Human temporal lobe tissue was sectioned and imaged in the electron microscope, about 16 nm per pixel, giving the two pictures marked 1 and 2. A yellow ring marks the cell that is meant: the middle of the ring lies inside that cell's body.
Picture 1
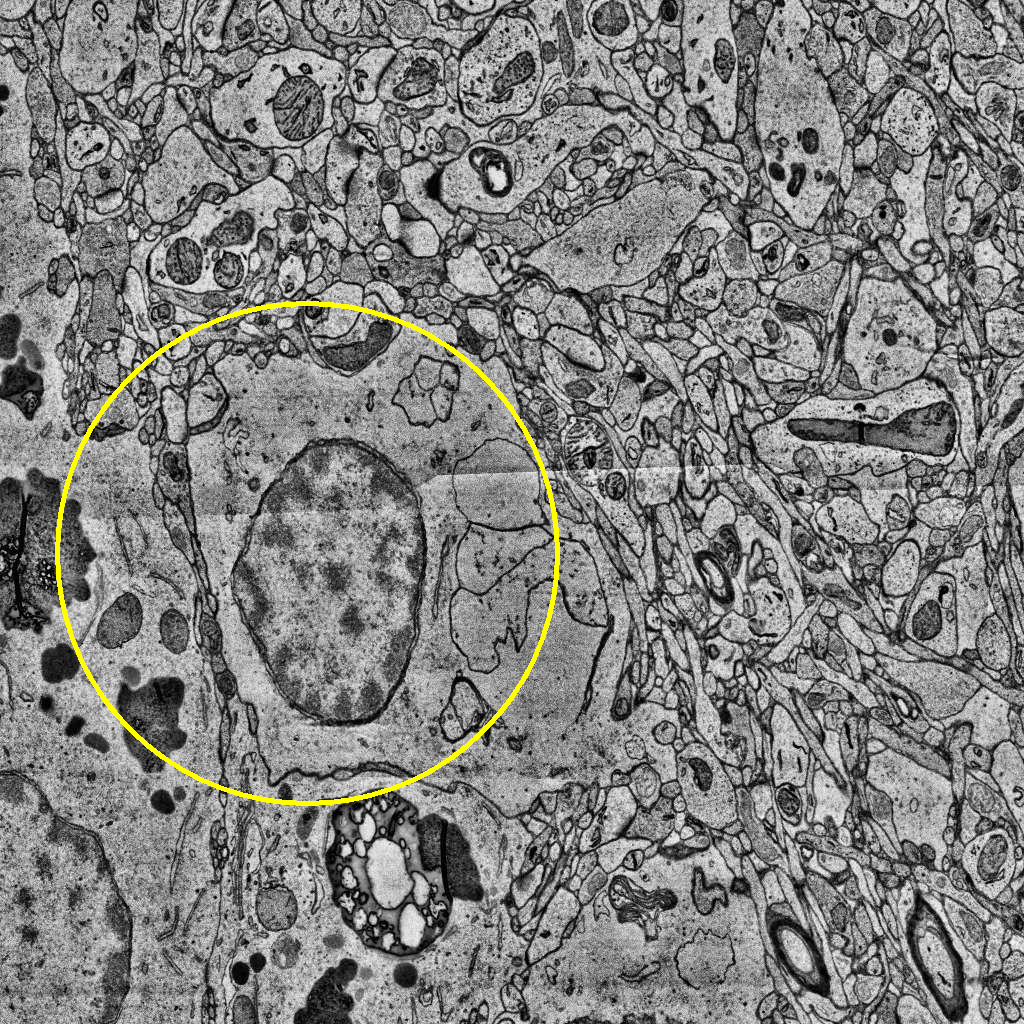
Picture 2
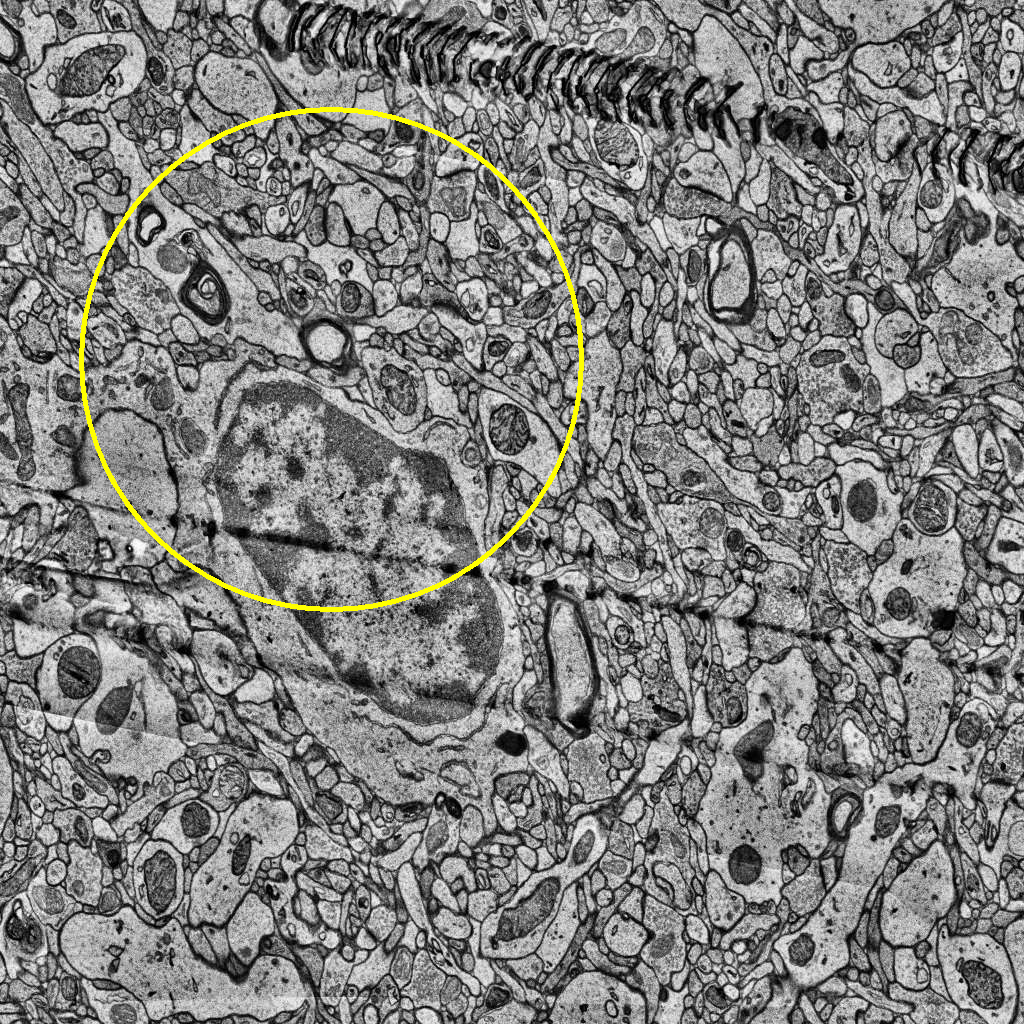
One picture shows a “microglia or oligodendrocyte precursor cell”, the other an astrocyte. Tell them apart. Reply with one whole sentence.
Picture 2 shows a “microglia or oligodendrocyte precursor cell”, while picture 1 shows an astrocyte.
